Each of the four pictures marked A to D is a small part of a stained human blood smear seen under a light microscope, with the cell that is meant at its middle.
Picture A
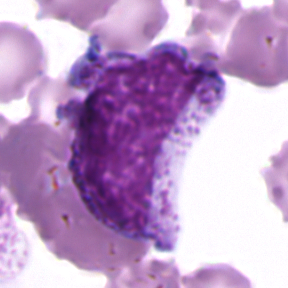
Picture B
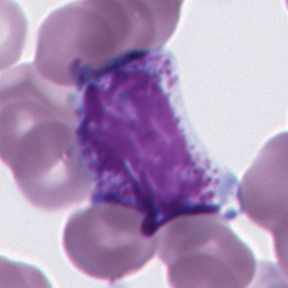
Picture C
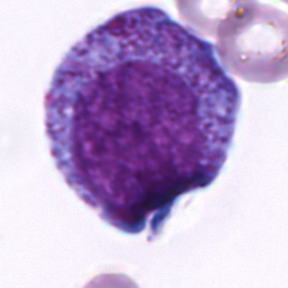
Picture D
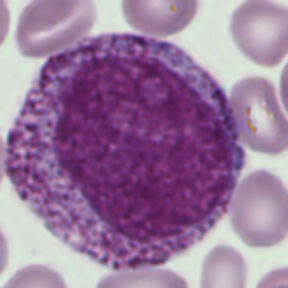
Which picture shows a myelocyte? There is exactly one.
B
